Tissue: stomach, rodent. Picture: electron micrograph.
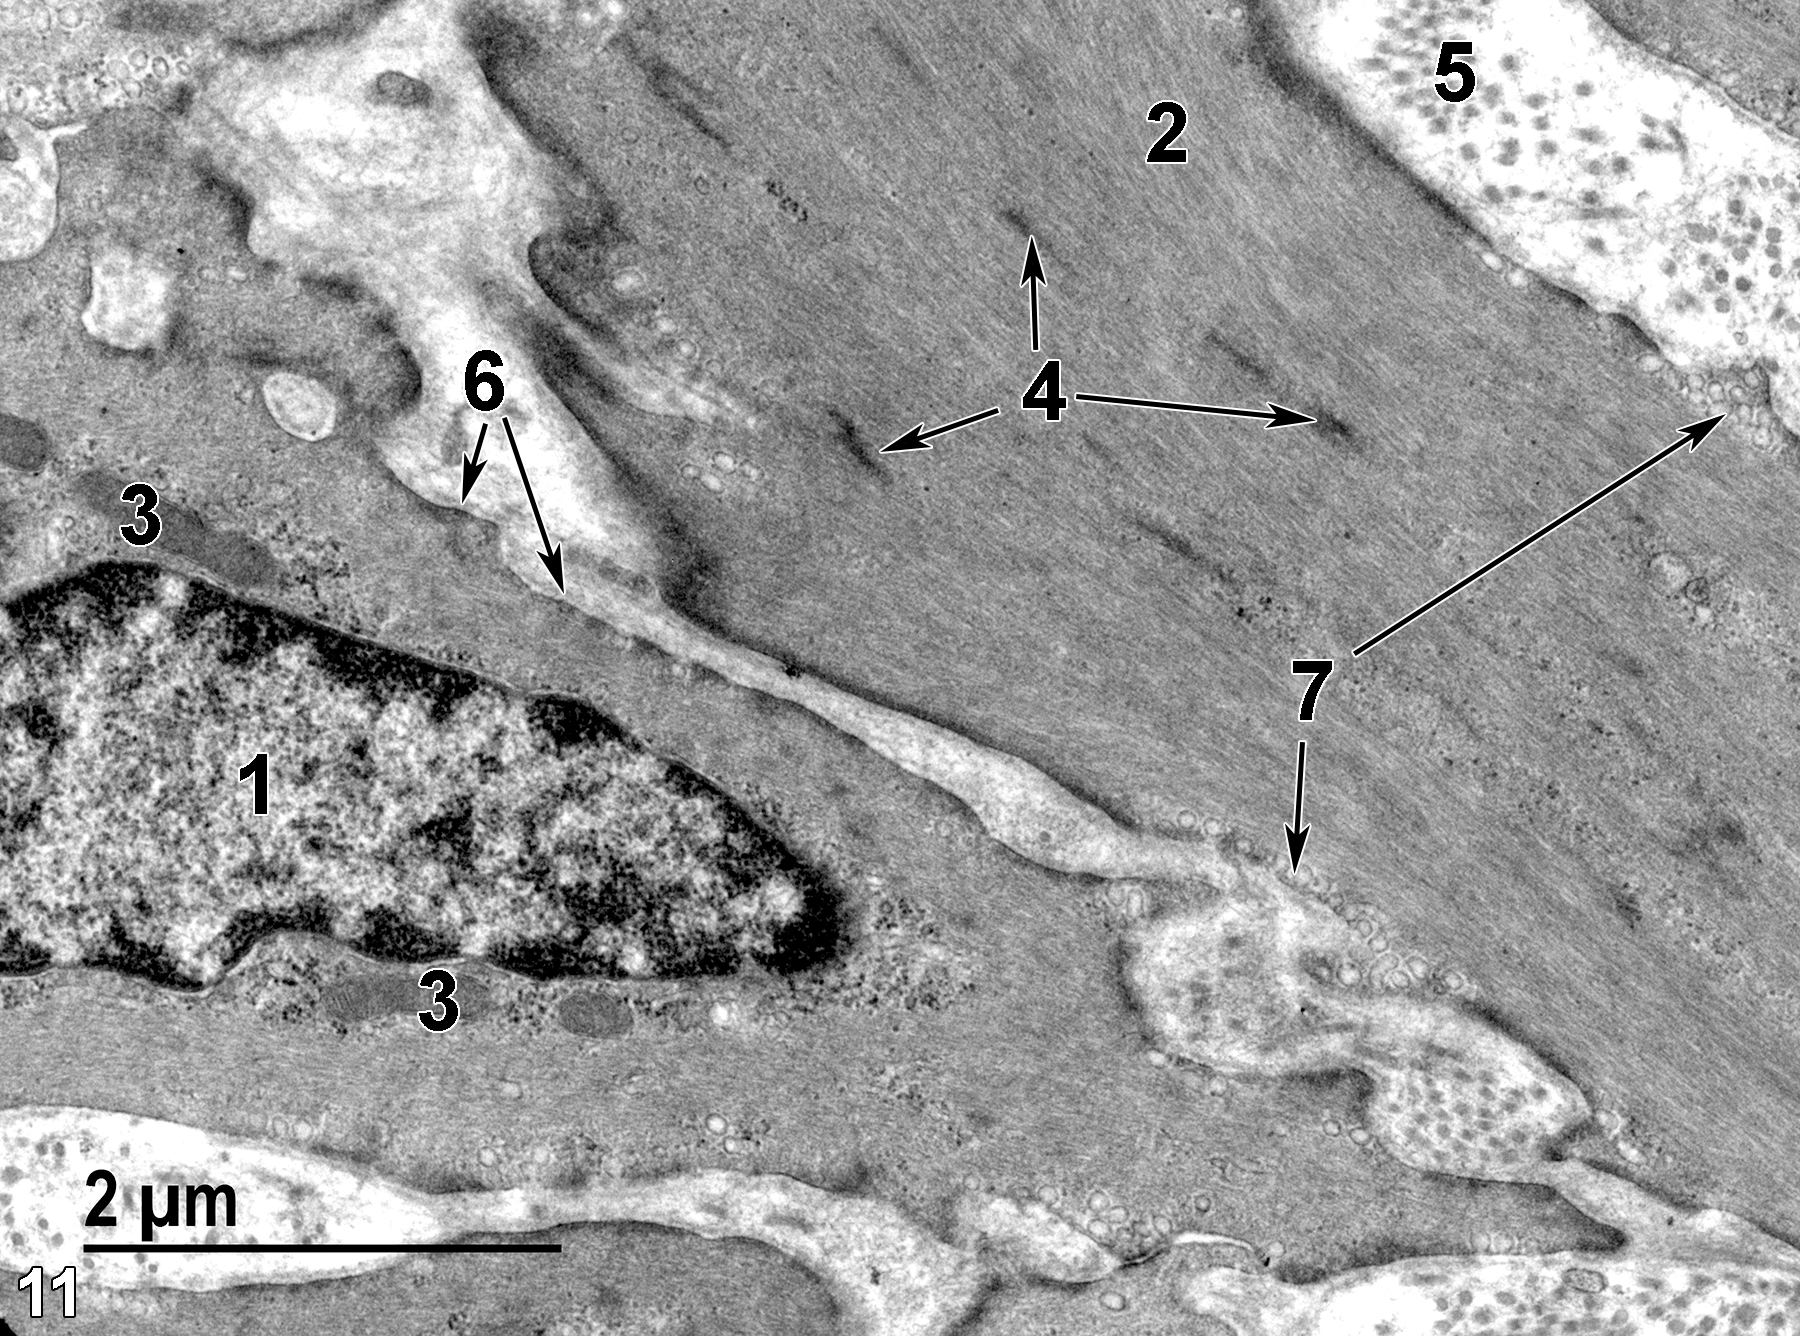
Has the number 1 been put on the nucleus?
Yes.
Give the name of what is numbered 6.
basal lamina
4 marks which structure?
electron-dense patches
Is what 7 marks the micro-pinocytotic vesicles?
Yes, 7 marks the micro-pinocytotic vesicles.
